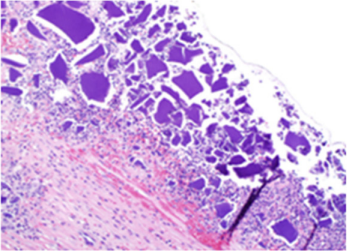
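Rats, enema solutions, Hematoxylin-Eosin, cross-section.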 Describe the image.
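This is colonic wall with crystal deposits and destroyed tissue. The upper half is filled with many angular, sharp-edged, glassy deep purple fragments of varied size, some cracked, embedded among necrotic debris and dense small dark nuclei of inflammatory cells. Below lies a band of pink, fibrillar tissue with elongated nuclei and a streak of red blood cells, without recognisable crypts or intact epithelium. The normal layered structure of the wall is lost near the deposits.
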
